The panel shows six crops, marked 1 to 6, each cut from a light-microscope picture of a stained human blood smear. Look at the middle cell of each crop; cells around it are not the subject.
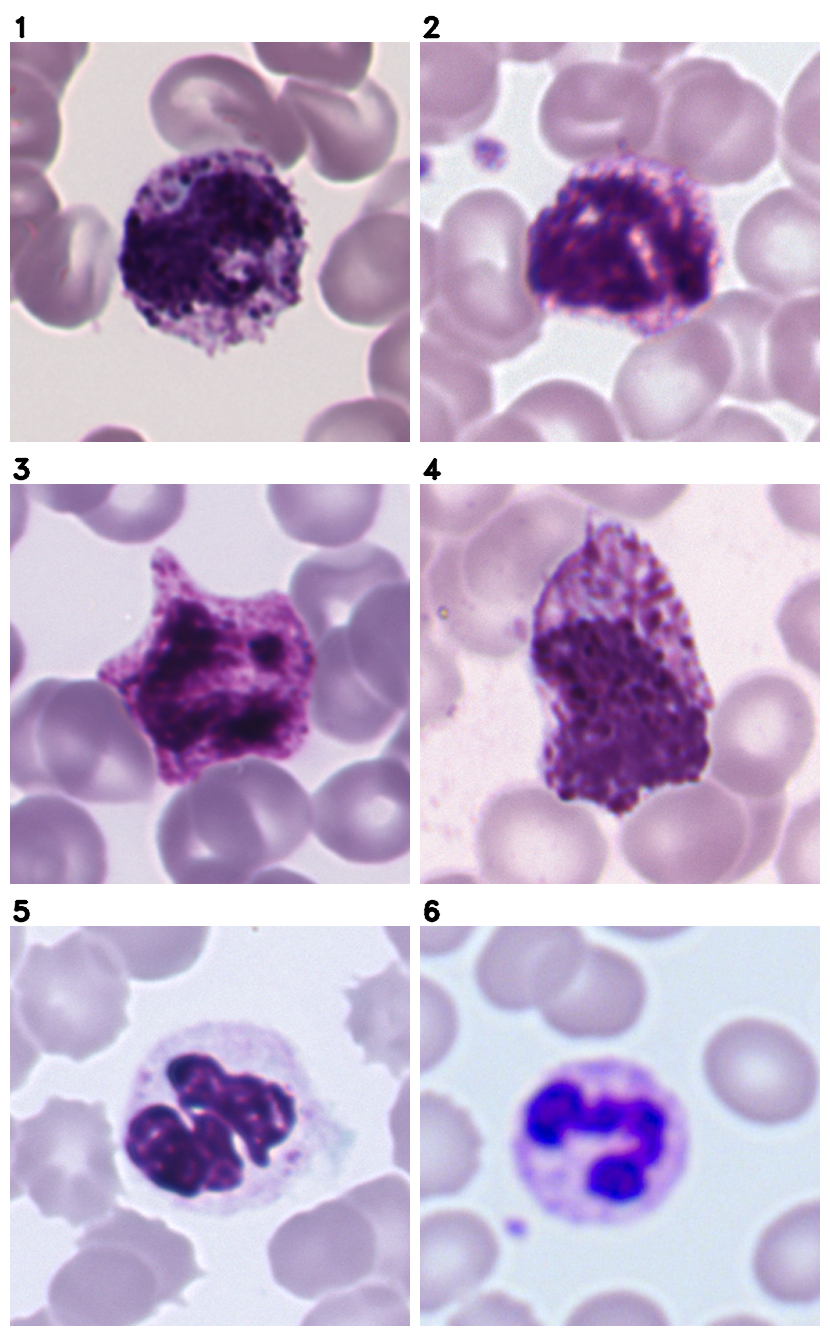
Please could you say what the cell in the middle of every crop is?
1: basophil
2: basophil
3: basophil
4: basophil
5: segmented neutrophil
6: segmented neutrophil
